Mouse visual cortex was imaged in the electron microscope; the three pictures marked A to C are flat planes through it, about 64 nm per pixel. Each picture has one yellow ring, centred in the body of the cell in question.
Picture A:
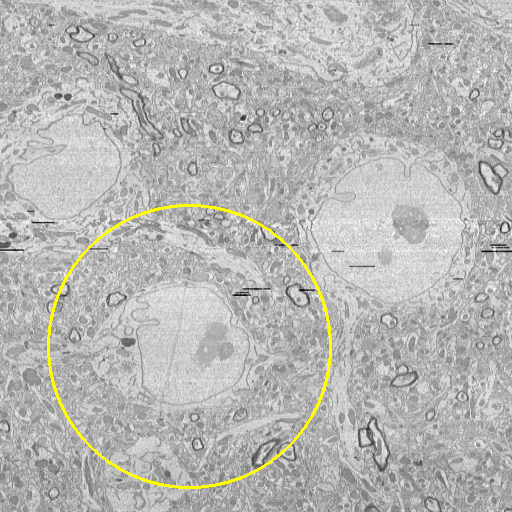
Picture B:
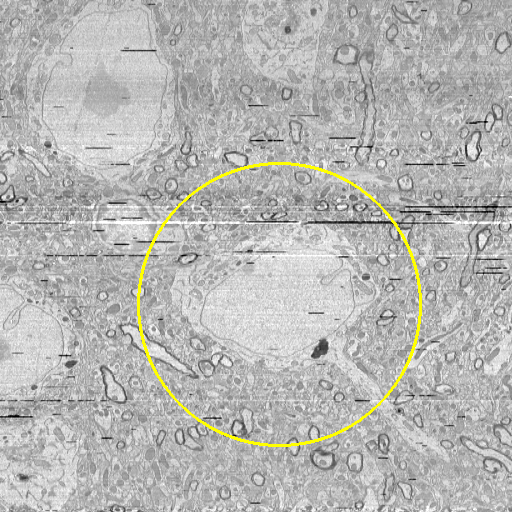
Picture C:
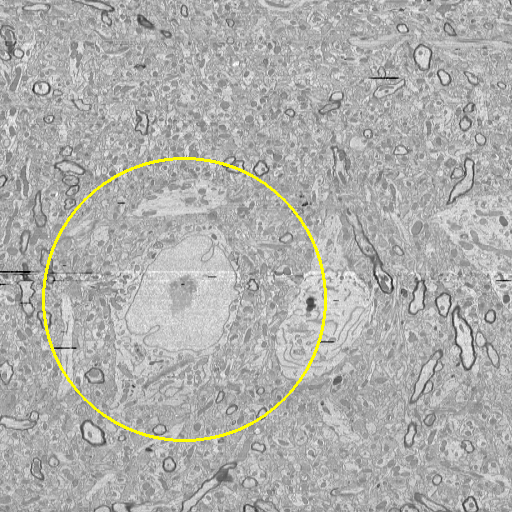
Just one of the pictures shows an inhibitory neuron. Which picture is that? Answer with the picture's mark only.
C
